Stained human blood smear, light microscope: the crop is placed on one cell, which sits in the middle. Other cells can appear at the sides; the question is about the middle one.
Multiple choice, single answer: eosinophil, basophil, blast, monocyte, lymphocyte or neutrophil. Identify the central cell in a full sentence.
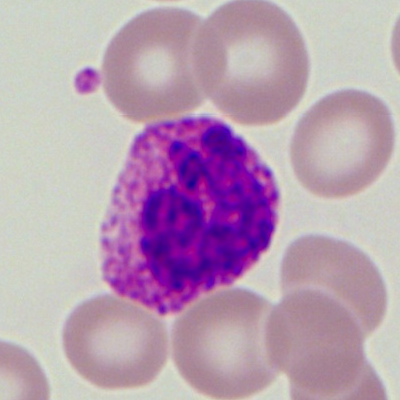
The cell that lies at the centre of the crop is a basophil.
